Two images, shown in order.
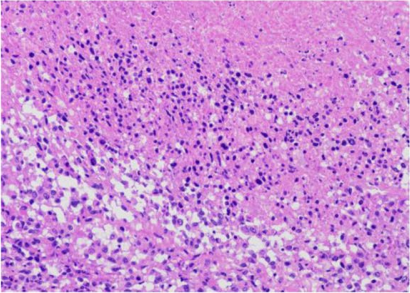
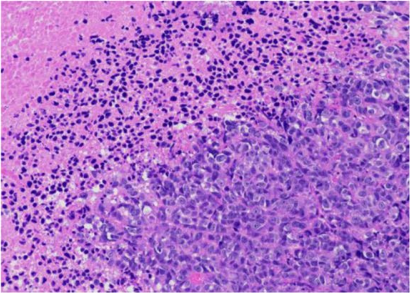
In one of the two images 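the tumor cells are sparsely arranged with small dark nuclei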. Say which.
The first image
